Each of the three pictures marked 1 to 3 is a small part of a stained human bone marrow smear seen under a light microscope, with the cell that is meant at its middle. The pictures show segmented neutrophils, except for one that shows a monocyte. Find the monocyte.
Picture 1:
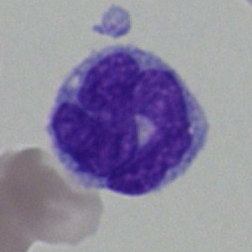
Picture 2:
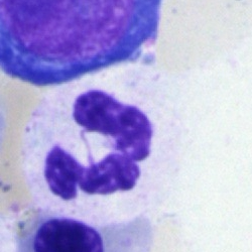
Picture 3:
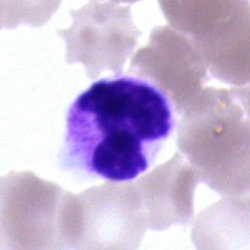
1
